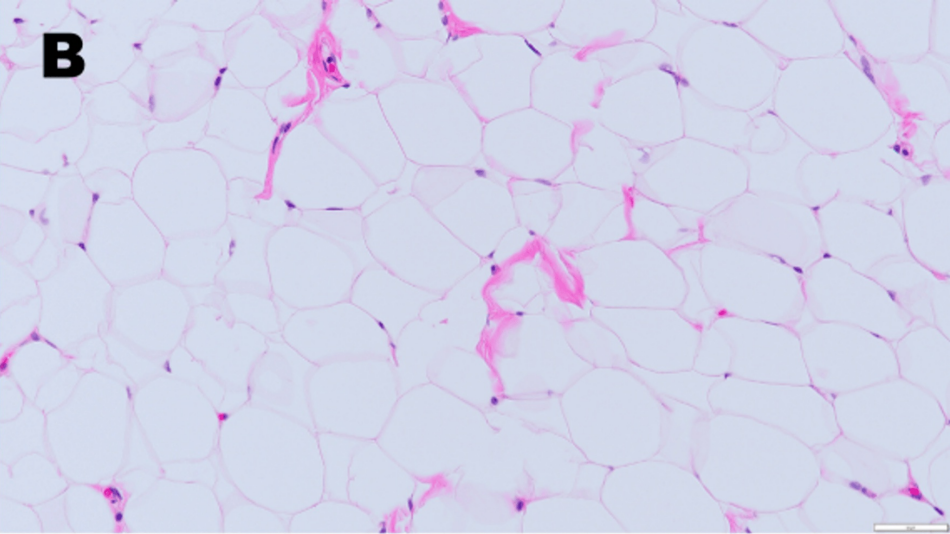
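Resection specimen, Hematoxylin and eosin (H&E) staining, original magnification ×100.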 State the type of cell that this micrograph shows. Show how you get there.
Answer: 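Large, round to polygonal cells with empty-looking, clear interiors. Thin membranes outline each cell, forming a honeycomb pattern. Small dark nuclei pressed flat at the edge of the cells.
Hence: mature adipocytes.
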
